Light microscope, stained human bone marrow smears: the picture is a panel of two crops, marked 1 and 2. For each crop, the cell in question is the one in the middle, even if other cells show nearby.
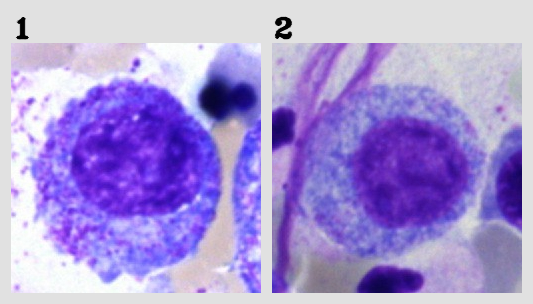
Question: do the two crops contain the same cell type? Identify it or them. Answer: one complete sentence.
Yes, the crops both have promyelocytes in the middle.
